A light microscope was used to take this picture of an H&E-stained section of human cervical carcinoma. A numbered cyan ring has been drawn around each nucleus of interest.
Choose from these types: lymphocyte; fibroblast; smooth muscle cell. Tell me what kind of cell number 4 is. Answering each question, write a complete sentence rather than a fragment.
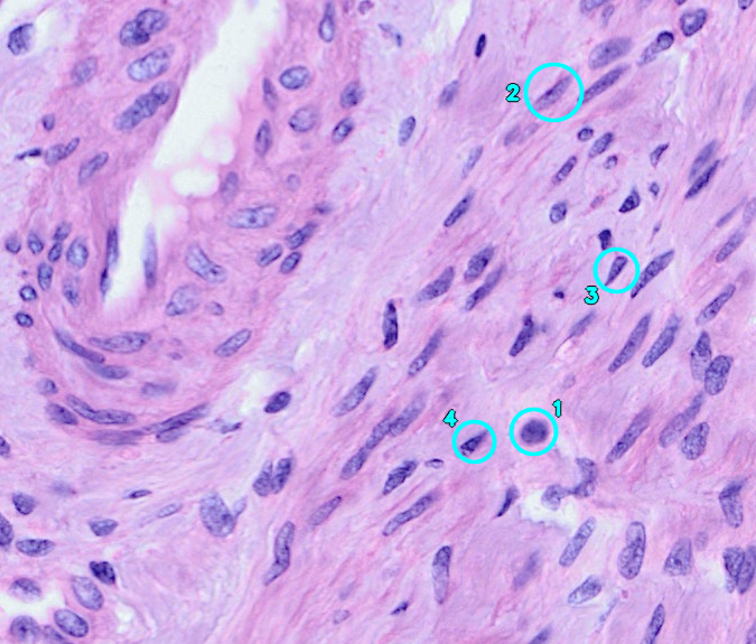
The cell indicated with the number 4 is classed as a fibroblast.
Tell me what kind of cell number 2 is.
It is as a smooth muscle cell that the cell numbered 2 is identified.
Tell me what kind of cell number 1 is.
The numbered cell 1 is identified here as a lymphocyte.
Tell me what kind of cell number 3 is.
In this section, number 3 marks a fibroblast.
